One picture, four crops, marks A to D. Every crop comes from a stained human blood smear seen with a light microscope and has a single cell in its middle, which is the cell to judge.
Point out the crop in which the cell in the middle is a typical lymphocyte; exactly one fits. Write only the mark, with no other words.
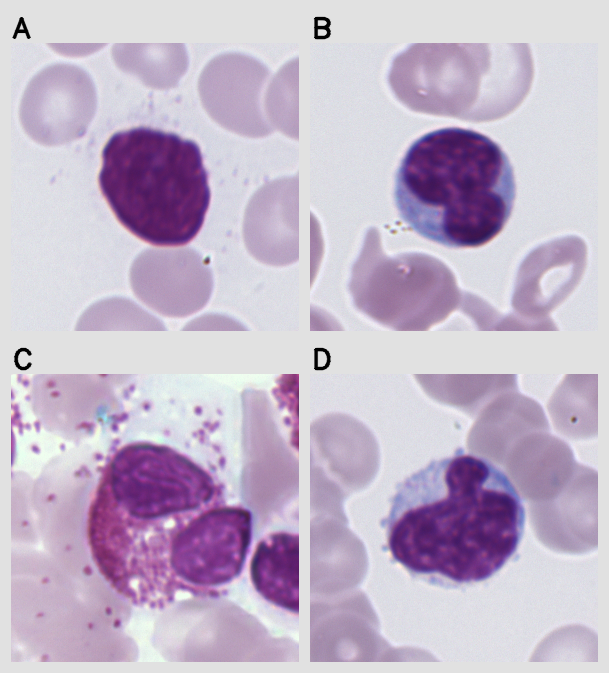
B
